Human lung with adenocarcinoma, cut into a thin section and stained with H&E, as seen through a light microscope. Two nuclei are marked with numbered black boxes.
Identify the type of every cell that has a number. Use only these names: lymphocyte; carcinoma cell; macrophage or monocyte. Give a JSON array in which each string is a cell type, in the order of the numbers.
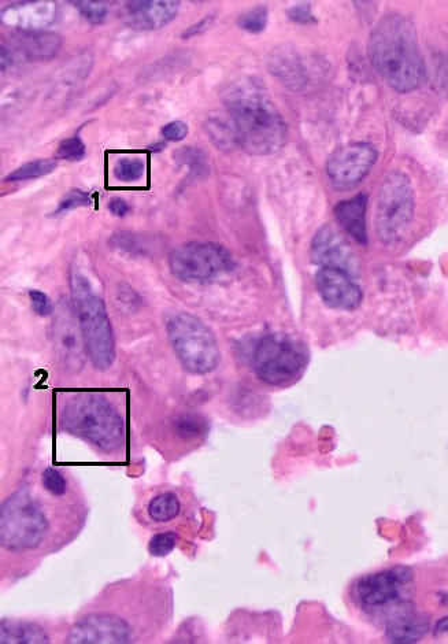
["lymphocyte", "carcinoma cell"]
